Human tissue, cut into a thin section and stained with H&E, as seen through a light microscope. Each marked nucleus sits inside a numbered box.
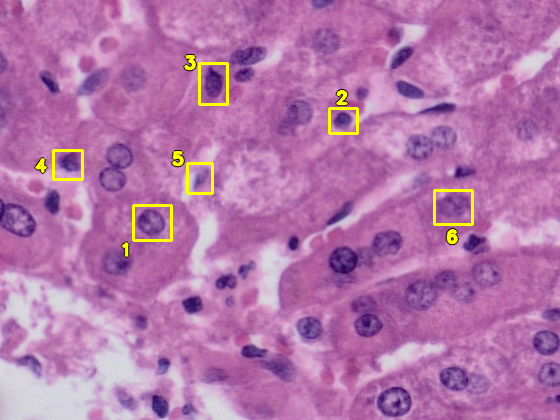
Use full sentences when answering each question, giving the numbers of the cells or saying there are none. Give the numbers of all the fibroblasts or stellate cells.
Across all the numbered cells, only number 4 is a fibroblast or stellate cell.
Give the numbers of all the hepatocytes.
The cells numbered 1 and 6 are typed as hepatocytes.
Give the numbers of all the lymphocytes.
Of the cells marked with numbers, cell 2 is the only one that is a lymphocyte.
